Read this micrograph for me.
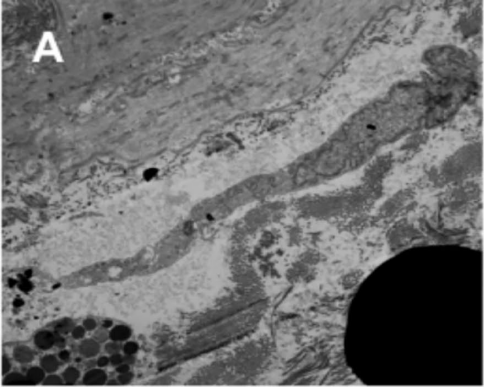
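Interstitial tissue between smooth muscle and collagen with one long, slender cell lying obliquely across the field. Broad smooth muscle cells lie above it, and collagen fibrils fill the space below it. A large, round, uniformly black object occupies the lower right corner.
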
